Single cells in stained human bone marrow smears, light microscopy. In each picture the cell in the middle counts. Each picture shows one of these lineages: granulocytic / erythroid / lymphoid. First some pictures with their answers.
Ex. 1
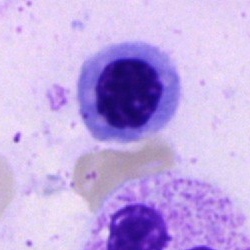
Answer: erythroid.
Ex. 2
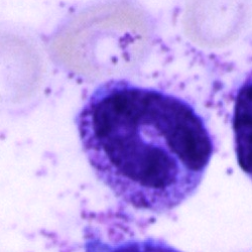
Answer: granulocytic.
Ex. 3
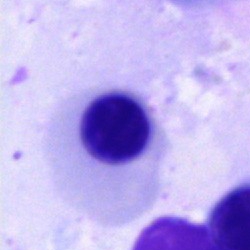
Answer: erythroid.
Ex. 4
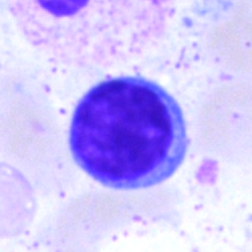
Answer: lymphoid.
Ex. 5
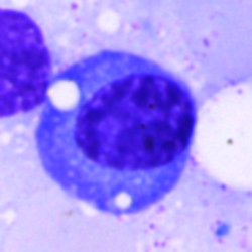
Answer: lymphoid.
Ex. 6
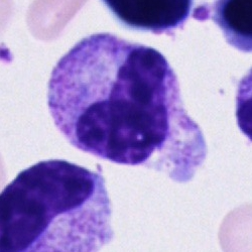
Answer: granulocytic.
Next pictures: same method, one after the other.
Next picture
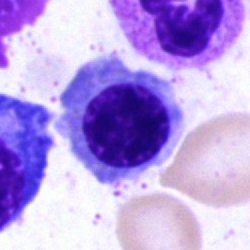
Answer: erythroid.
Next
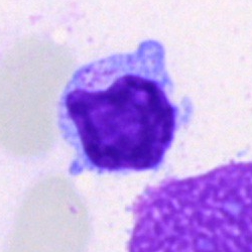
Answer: lymphoid.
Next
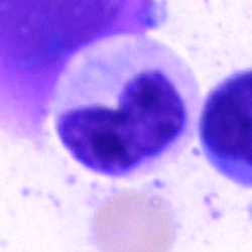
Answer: granulocytic.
